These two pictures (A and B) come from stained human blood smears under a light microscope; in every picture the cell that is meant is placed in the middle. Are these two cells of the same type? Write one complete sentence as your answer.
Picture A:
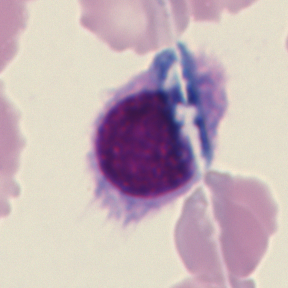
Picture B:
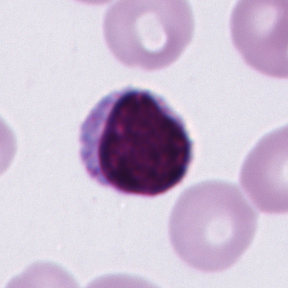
No. Picture A shows a hairy cell, but picture B shows a large granular lymphocyte.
